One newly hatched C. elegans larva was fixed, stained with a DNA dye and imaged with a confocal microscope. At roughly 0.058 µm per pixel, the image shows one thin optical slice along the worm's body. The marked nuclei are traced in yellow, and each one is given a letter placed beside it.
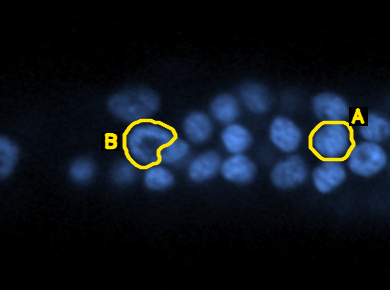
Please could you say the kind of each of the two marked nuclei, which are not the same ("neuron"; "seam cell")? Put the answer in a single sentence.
A is the nucleus of a neuron; B is the nucleus of a seam cell.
